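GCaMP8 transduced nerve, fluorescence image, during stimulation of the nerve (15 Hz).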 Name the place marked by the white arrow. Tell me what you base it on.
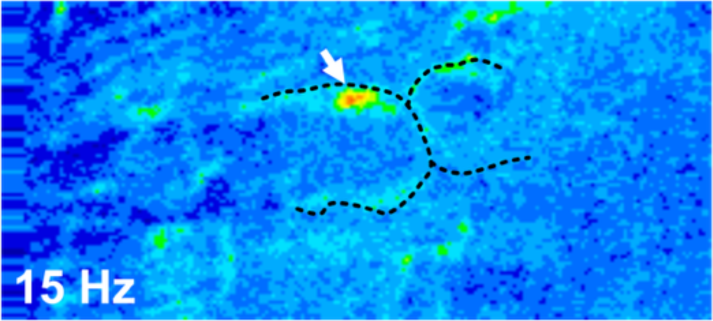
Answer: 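The white arrow points to a bright spot on the edge of the dashed fibre outline. The bright spot lies next to where the outlined fibre narrows.
Answer: paranode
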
